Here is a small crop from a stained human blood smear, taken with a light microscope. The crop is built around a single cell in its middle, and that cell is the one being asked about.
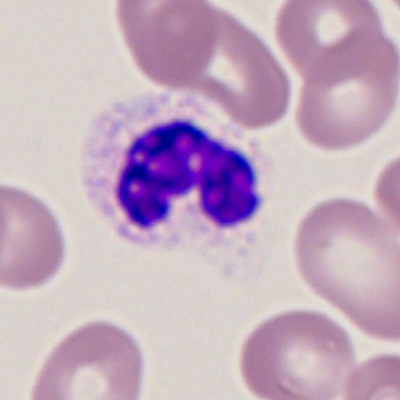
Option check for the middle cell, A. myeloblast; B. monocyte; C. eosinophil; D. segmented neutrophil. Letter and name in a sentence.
The correct option here is D; the middle cell is a segmented neutrophil.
